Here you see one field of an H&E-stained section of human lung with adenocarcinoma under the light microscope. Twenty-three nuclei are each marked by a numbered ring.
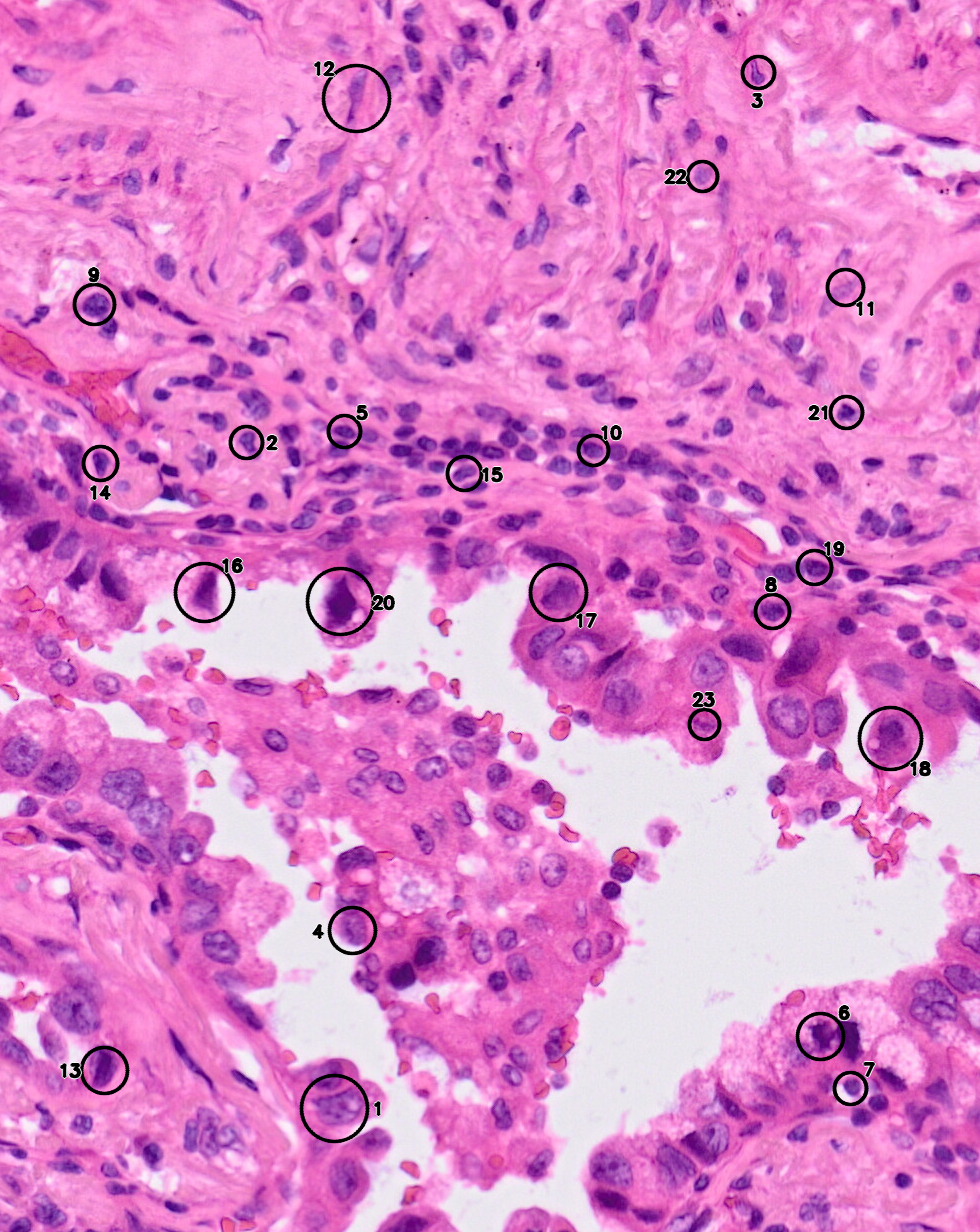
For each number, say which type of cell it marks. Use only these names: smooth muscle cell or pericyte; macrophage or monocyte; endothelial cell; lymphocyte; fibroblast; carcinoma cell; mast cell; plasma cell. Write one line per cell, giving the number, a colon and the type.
1: carcinoma cell
2: lymphocyte
3: smooth muscle cell or pericyte
4: carcinoma cell
5: lymphocyte
6: carcinoma cell
7: lymphocyte
8: lymphocyte
9: lymphocyte
10: lymphocyte
11: smooth muscle cell or pericyte
12: smooth muscle cell or pericyte
13: carcinoma cell
14: lymphocyte
15: lymphocyte
16: carcinoma cell
17: carcinoma cell
18: carcinoma cell
19: plasma cell
20: carcinoma cell
21: lymphocyte
22: smooth muscle cell or pericyte
23: carcinoma cell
